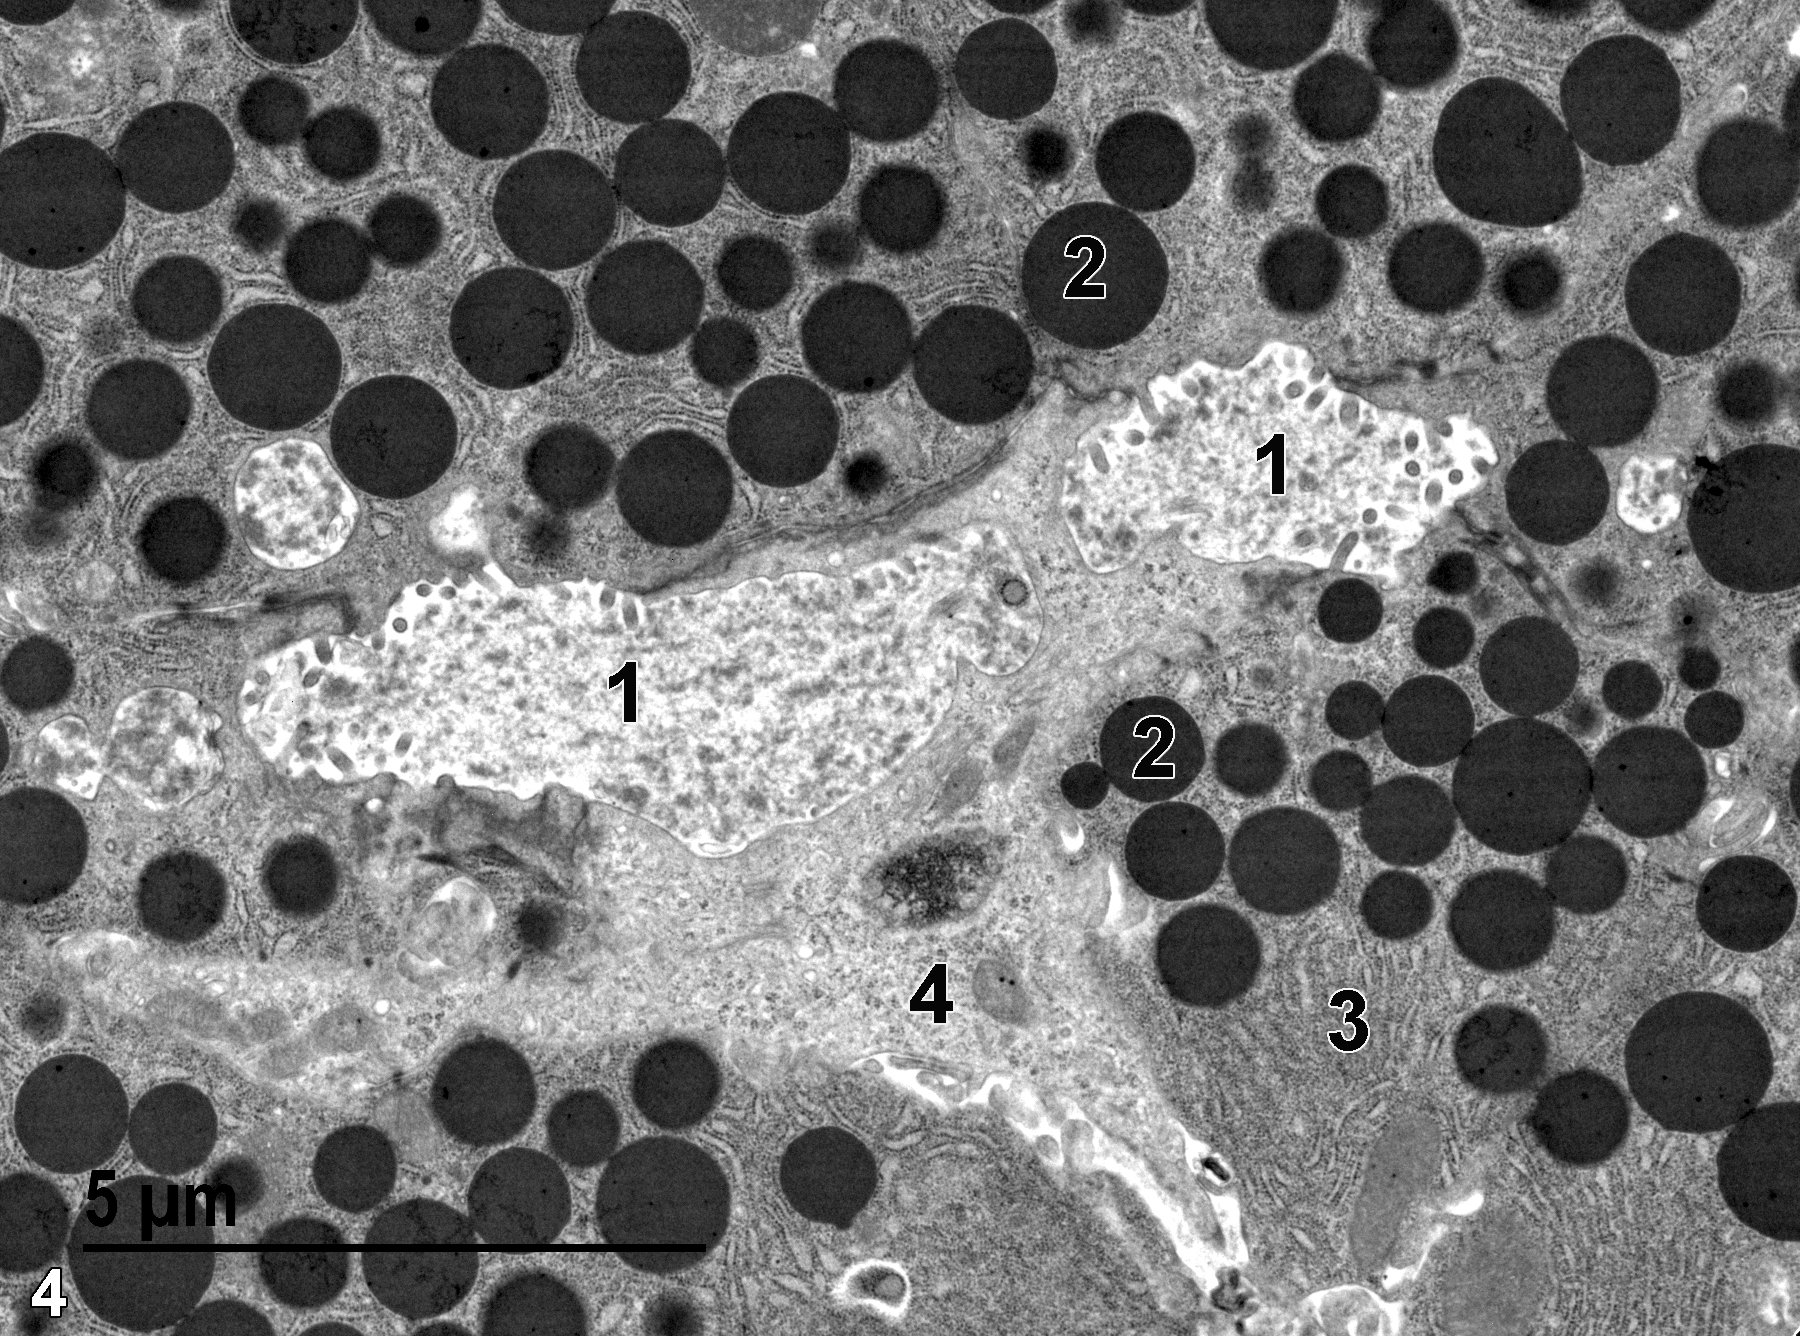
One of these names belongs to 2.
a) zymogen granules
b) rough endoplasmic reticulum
a) zymogen granules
